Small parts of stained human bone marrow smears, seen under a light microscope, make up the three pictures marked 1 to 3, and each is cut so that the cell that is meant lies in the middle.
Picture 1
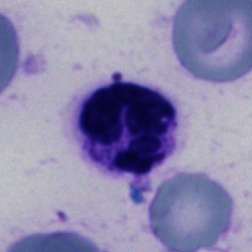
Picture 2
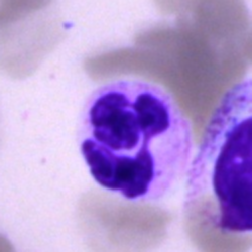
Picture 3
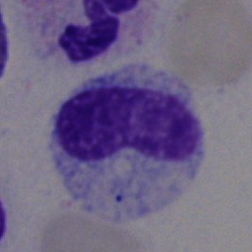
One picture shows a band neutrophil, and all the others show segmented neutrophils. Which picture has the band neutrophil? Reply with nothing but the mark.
3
